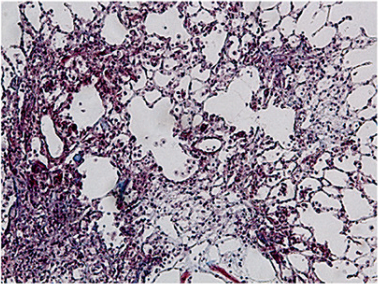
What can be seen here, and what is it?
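This lung section shows extensive parenchymal remodeling and fibrosis. Much of the field, especially on the left, is filled with densely packed cells and matrix stained red-purple, with scattered blue fibrous patches.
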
